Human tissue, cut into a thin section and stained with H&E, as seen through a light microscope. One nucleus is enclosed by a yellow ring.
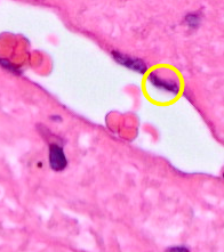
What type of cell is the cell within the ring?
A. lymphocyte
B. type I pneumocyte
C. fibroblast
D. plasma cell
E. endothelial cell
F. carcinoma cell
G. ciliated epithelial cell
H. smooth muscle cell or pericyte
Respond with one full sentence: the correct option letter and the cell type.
Best answer: option E, with the cell within the ring being an endothelial cell.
